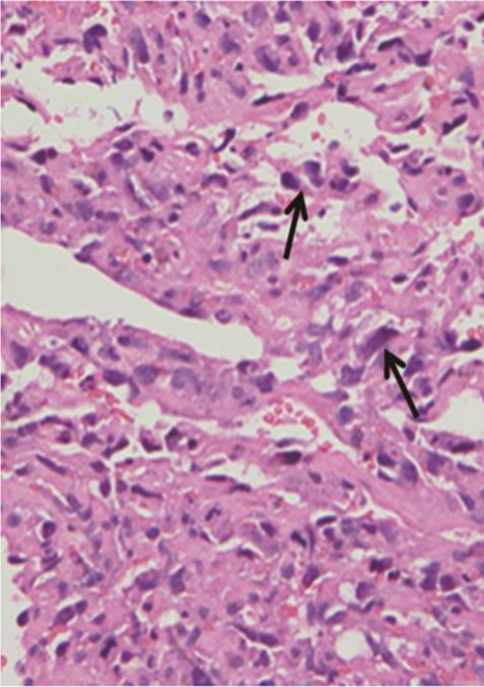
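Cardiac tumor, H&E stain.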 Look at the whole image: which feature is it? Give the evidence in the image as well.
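Poorly formed immature vessels. Irregular, slit-like and branching open spaces run through the tissue. Atypical cells with dark nuclei line these spaces. Small red discs lie within some of the channels.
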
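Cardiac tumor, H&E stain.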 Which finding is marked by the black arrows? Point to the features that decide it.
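The arrowed nuclei are stained very dark purple. The arrowed nuclei are larger and more irregular than many neighbouring nuclei.
Conclusion: hyperchromatic nuclei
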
